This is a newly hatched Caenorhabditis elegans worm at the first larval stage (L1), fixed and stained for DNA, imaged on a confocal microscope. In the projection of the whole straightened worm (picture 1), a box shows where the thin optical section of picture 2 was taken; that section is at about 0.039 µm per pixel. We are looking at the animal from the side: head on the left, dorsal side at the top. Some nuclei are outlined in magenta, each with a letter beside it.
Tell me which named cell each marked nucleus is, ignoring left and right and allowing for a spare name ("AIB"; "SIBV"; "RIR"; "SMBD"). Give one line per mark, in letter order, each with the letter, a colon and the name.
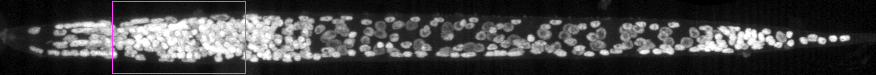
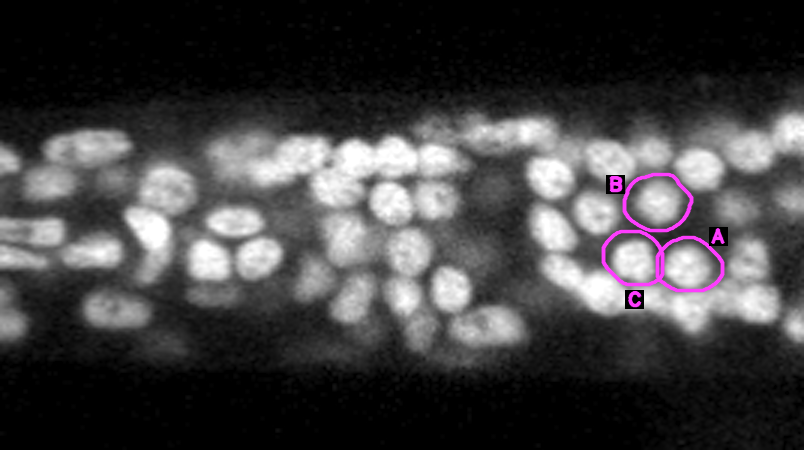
A: RIR
B: AIB
C: SIBV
